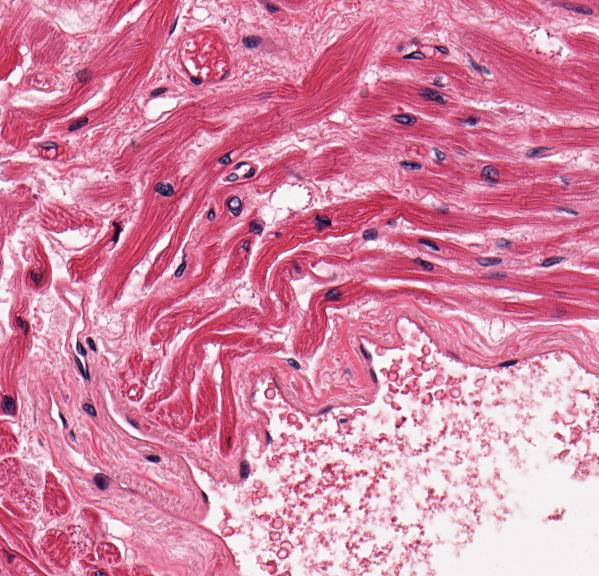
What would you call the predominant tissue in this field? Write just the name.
myocardium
